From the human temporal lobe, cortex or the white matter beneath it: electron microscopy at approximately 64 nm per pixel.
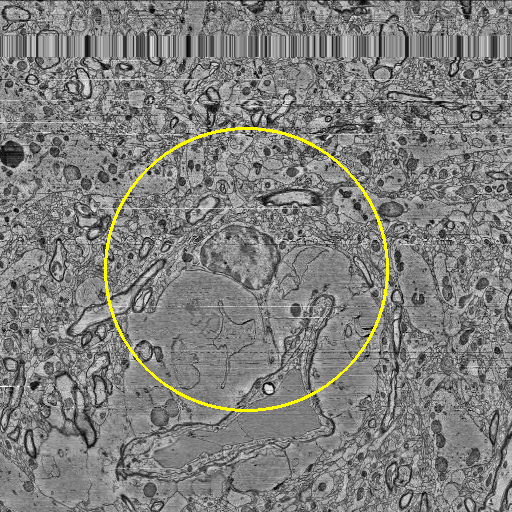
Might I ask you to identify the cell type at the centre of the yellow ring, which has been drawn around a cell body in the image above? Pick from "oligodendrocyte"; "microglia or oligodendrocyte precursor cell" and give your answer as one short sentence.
The centre of the ring falls on a microglial cell or oligodendrocyte precursor cell.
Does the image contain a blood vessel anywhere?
Yes, there is one.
